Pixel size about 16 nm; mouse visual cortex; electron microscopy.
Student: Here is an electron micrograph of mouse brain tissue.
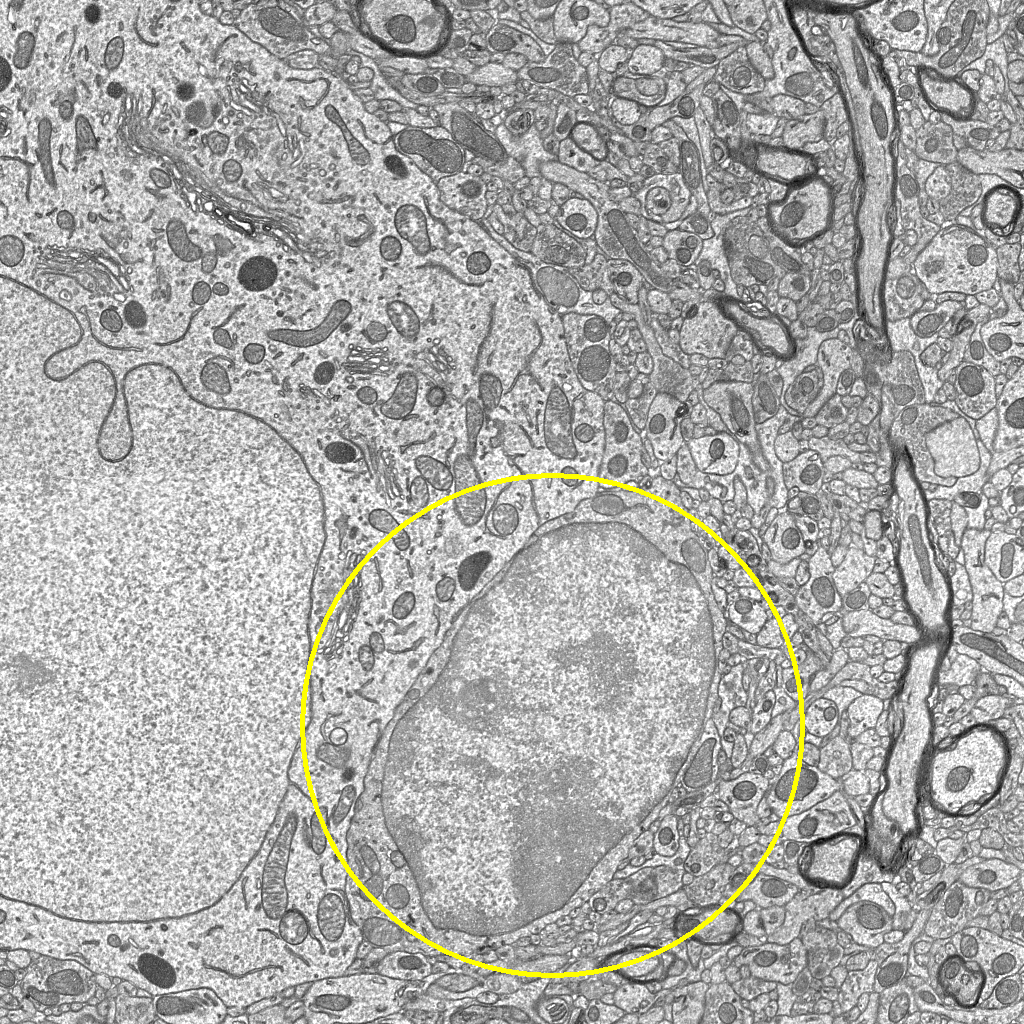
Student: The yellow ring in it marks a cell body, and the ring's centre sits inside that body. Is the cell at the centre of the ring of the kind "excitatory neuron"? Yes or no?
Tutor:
no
